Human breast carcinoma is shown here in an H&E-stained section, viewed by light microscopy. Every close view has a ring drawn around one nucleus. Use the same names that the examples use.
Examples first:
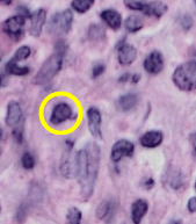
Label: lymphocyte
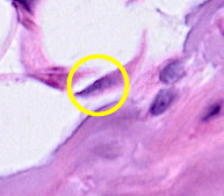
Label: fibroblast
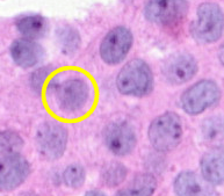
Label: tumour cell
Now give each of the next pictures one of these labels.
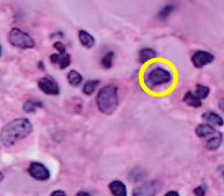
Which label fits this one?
lymphocyte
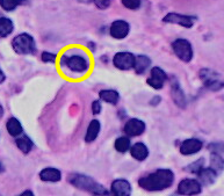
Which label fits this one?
lymphocyte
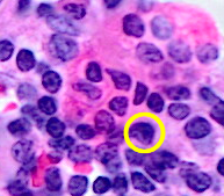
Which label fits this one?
lymphocyte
